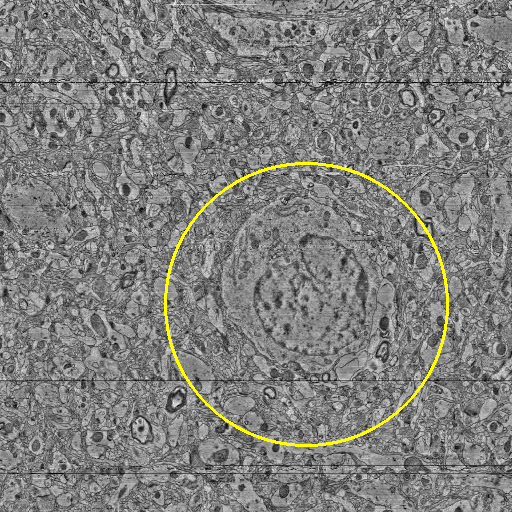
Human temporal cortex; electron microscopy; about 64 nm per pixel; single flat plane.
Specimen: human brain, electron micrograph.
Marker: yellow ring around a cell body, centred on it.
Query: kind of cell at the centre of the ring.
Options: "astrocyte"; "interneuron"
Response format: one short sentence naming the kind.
This cell body belongs to an interneuron.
